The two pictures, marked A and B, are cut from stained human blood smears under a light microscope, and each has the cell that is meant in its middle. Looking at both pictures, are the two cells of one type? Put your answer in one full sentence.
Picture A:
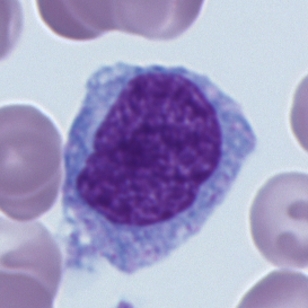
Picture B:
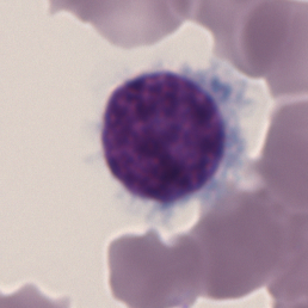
No, they differ: the cell is a monocyte in picture A and a hairy cell in picture B.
